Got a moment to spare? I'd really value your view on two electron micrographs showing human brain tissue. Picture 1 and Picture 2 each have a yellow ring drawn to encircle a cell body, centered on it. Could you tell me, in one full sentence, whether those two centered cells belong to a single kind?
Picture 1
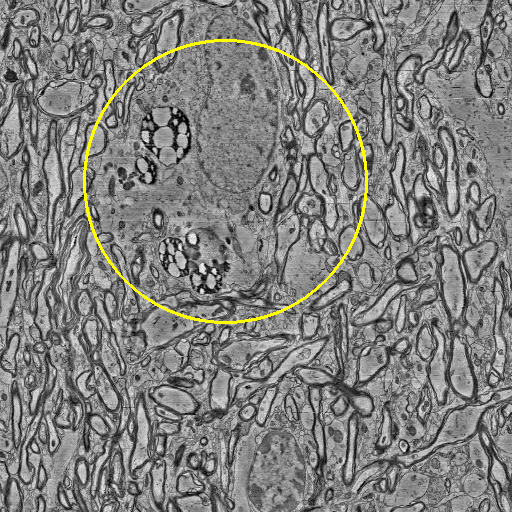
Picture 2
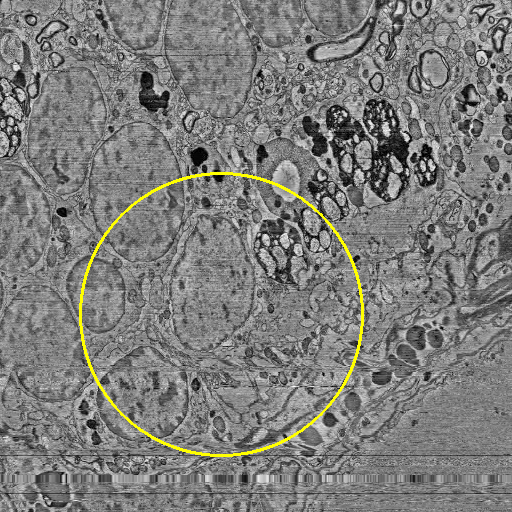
Yes, the two centered cells in Picture 1 and Picture 2 are of a single kind.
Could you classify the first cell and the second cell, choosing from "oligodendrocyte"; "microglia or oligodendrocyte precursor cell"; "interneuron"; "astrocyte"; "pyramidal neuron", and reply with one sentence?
Each of the two rings surrounds an astrocyte.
